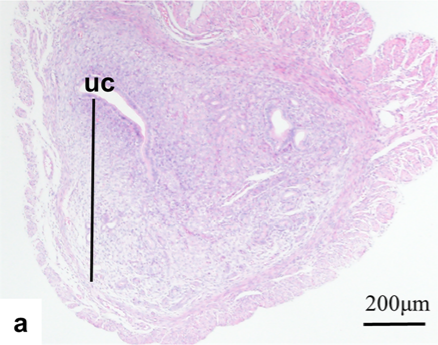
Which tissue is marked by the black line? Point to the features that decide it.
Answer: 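Endometrium. The line spans the thick cellular layer between the central cavity and the outer muscular wall. This layer holds scattered small glands within a cellular stroma.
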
